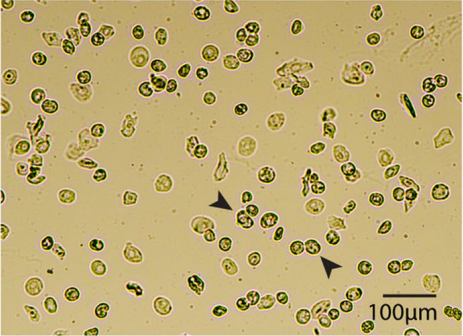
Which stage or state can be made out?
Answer: proestrus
